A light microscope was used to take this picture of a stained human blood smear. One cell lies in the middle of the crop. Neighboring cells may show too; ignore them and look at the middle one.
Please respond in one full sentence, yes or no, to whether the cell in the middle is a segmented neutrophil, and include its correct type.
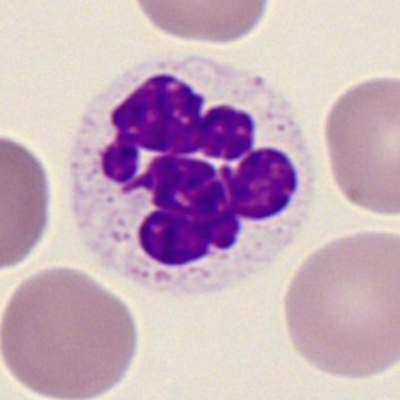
Yes, at the centre of the crop lies a segmented neutrophil.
